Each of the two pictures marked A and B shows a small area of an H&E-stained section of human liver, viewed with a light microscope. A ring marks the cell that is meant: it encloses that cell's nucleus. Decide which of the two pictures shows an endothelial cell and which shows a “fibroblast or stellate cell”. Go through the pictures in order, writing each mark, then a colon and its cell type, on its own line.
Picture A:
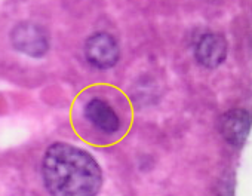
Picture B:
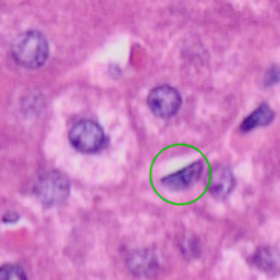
A: fibroblast or stellate cell
B: endothelial cell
